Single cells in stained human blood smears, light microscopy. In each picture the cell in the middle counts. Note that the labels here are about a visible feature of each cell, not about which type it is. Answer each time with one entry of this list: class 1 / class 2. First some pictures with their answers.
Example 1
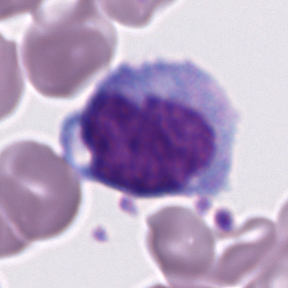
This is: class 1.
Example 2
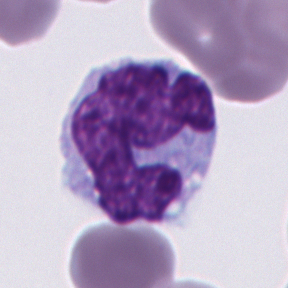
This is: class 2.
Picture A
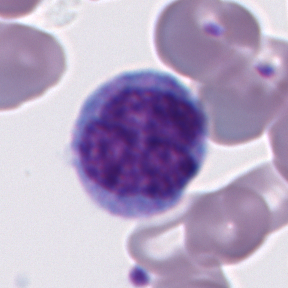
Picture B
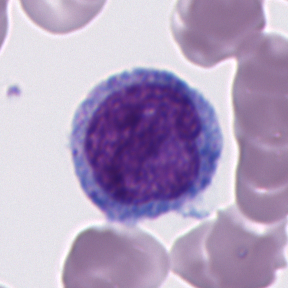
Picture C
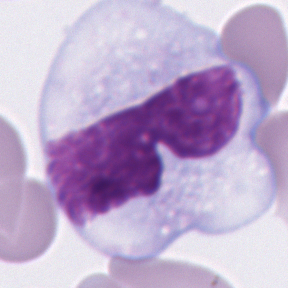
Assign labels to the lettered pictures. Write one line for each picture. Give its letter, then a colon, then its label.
A: class 1.
B: class 1.
C: class 2.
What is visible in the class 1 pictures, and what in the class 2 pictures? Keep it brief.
In class 1: round or oval nucleus. In class 2: band-shaped nucleus.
